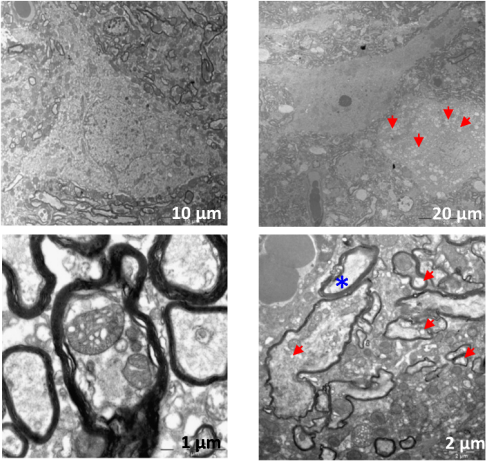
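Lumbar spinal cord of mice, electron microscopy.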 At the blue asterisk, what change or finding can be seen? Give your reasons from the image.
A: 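Degenerated axons with disorganized myelin sheaths. The asterisk sits on an axon whose dark myelin sheath is loosened and irregular. Neighbouring fibres have distorted, irregular outlines.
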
